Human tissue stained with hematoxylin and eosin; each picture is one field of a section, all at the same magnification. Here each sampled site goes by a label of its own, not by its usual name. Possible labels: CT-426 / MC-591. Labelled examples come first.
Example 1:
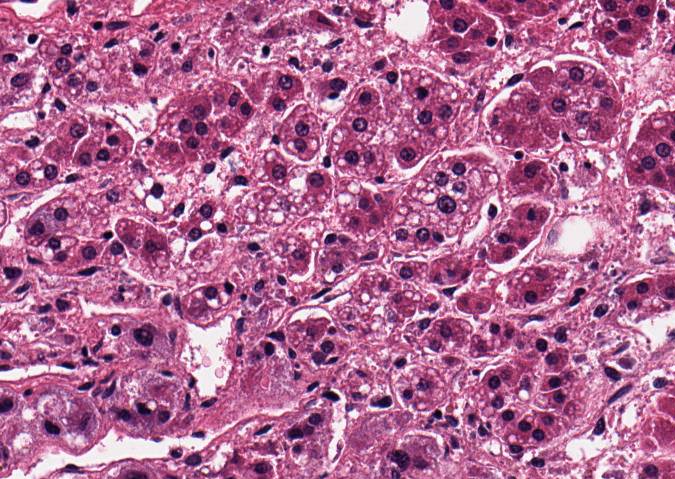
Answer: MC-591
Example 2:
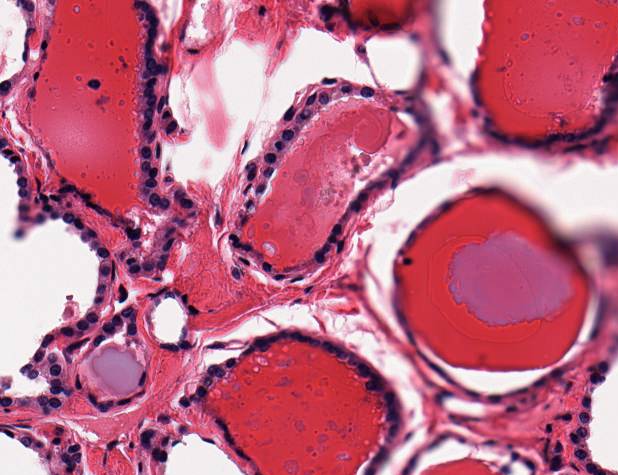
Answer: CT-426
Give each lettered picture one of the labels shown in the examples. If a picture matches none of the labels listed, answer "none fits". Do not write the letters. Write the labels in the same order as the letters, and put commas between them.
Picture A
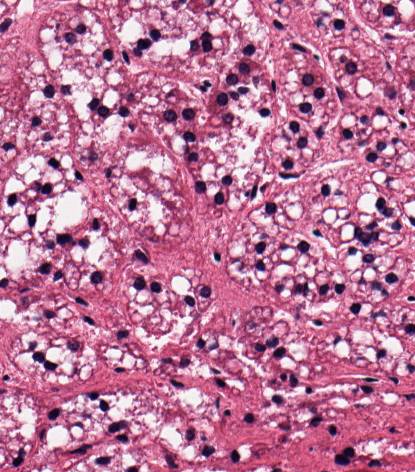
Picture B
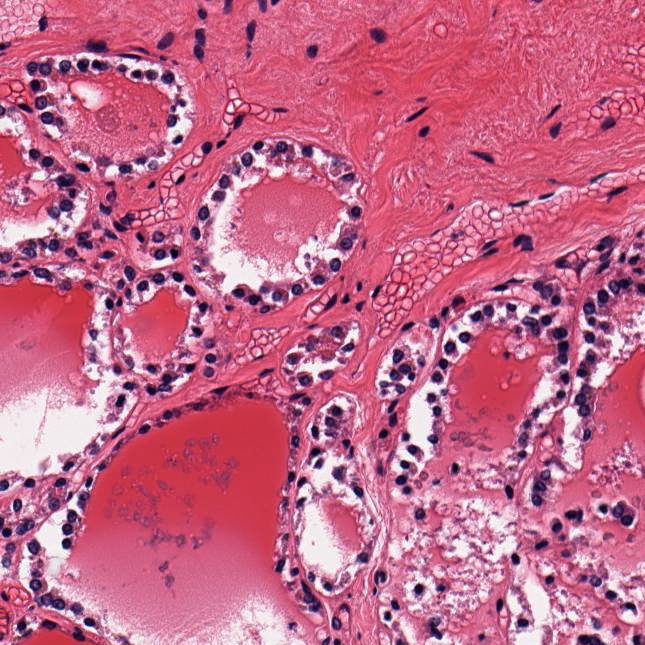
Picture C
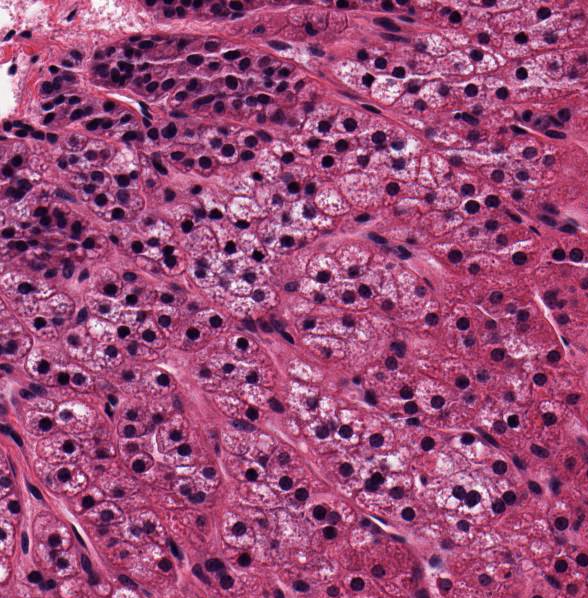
MC-591, CT-426, MC-591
